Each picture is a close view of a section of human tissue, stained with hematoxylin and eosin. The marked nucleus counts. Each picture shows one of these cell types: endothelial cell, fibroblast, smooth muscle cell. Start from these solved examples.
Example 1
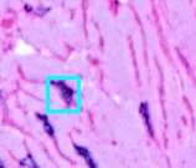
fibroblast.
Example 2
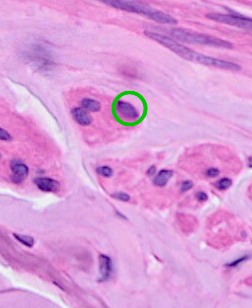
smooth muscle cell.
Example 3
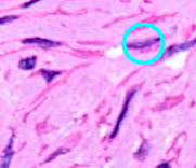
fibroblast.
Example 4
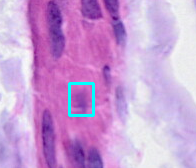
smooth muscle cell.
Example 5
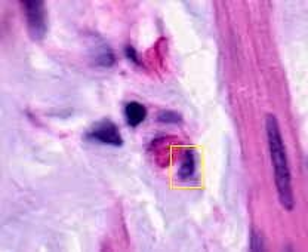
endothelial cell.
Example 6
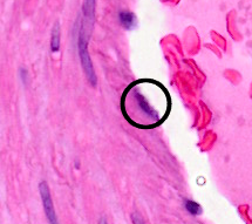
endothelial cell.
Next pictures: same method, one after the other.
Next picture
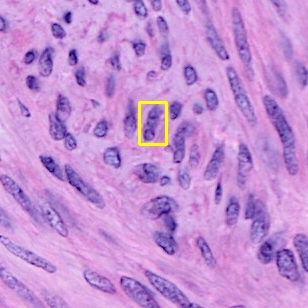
smooth muscle cell.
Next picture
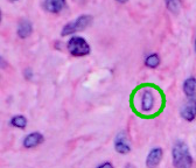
smooth muscle cell.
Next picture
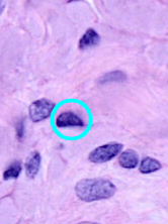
fibroblast.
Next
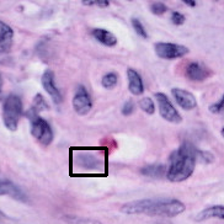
endothelial cell.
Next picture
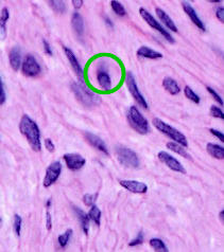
fibroblast.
